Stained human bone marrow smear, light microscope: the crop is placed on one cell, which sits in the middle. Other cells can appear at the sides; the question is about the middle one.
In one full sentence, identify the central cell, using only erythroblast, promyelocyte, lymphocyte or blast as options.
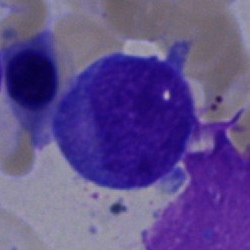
The cell positioned in the middle of the field is a blast.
